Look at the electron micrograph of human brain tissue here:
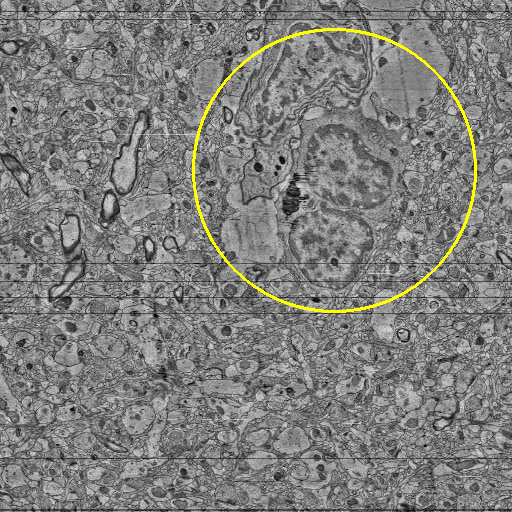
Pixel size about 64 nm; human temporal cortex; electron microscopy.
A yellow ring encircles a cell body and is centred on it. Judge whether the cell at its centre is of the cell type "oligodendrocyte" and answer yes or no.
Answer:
yes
